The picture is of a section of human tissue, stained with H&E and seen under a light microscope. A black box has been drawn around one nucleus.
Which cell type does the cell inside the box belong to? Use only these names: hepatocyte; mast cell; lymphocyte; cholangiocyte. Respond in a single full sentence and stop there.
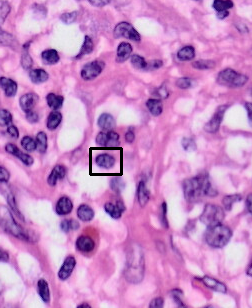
Considered by cell type, the cell inside the box is a lymphocyte.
